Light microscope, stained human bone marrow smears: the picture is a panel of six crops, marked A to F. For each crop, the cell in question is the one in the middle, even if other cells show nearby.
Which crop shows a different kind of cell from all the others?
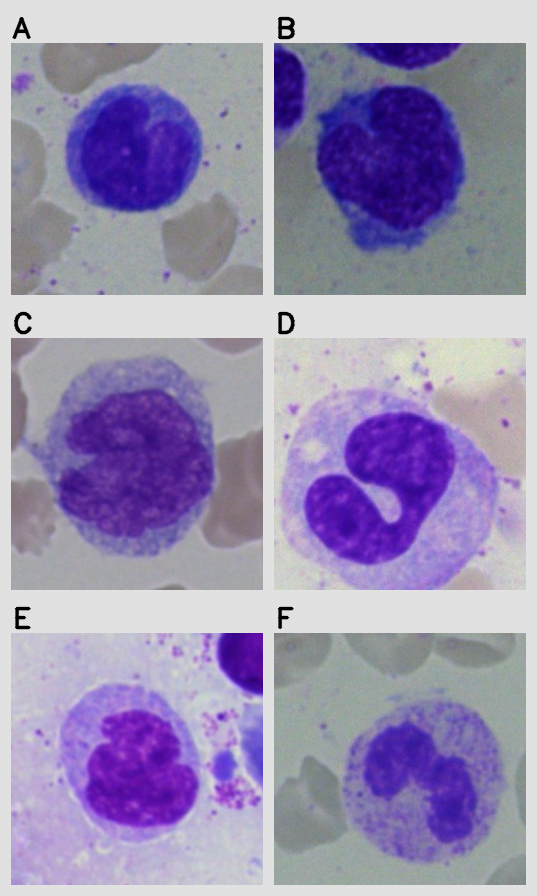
F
